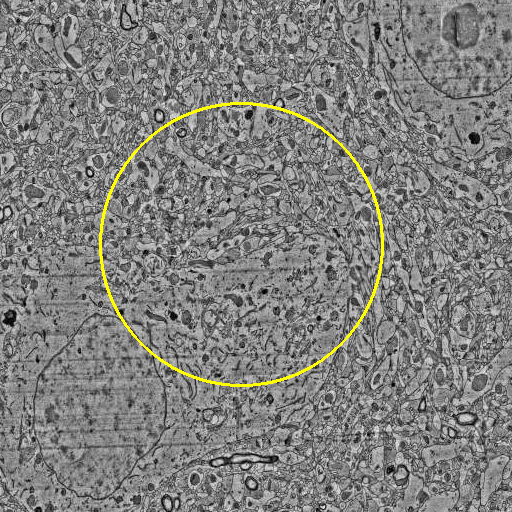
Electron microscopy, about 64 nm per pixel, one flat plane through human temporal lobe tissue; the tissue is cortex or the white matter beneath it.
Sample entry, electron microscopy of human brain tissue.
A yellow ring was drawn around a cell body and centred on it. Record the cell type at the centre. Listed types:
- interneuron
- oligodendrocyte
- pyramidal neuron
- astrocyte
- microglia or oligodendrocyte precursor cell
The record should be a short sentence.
The cell at the ring's centre is an oligodendrocyte.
